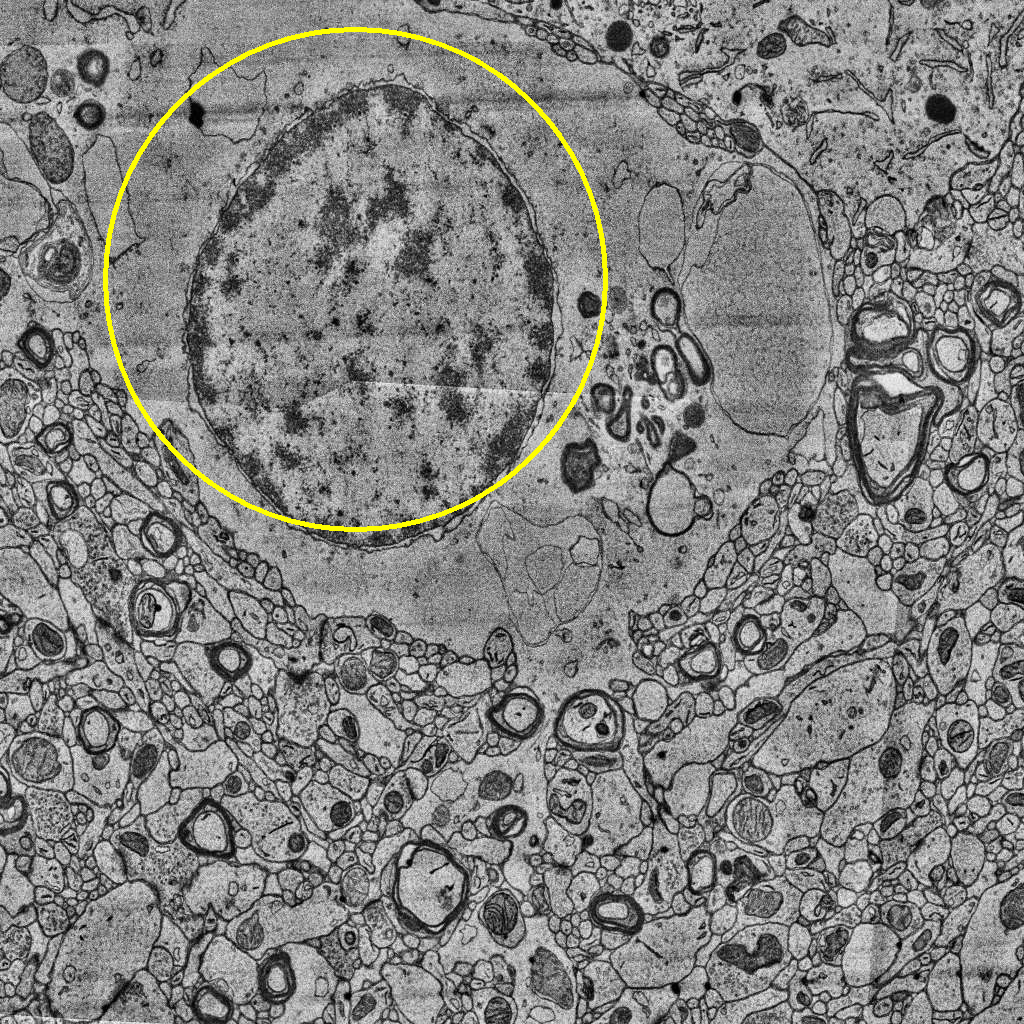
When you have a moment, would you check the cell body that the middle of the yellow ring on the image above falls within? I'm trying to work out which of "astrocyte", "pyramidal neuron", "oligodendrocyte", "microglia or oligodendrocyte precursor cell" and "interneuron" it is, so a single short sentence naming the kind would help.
This cell body belongs to an astrocyte.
